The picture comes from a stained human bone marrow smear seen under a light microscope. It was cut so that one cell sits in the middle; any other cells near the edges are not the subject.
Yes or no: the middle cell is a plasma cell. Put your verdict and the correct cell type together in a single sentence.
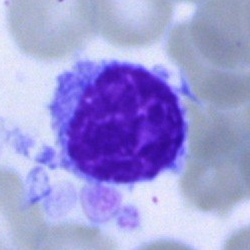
No, the label for the central cell is a hairy cell, not a plasma cell.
